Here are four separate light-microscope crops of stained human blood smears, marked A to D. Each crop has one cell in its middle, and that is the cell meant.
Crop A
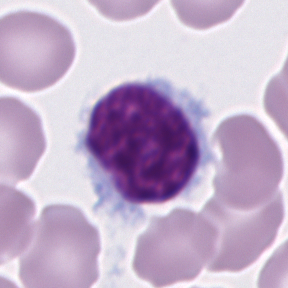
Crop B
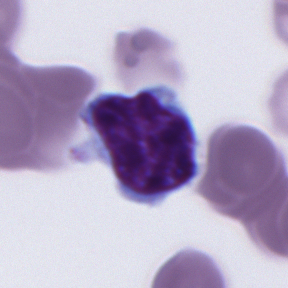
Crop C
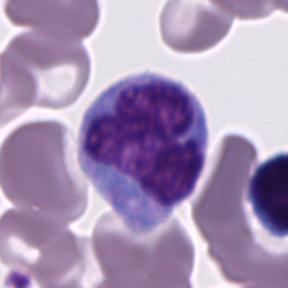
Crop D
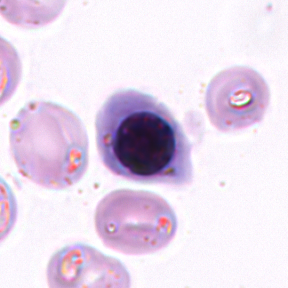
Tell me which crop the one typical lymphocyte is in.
B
